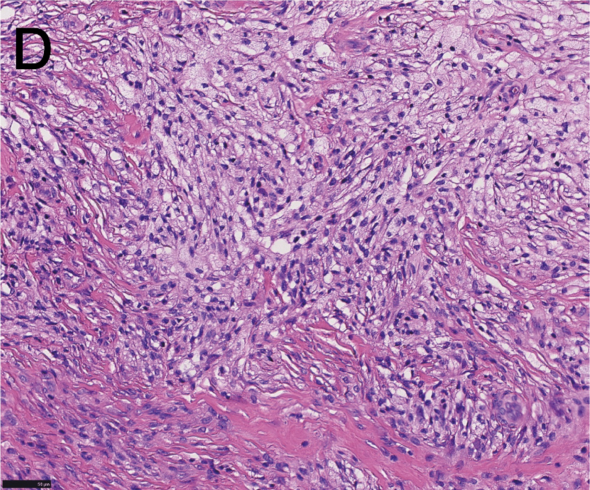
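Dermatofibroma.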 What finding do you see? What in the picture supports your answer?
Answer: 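Many cells have pale, finely vacuolated cytoplasm. Foamy cells cluster in the upper part of the field. The answer: foamy appearance.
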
